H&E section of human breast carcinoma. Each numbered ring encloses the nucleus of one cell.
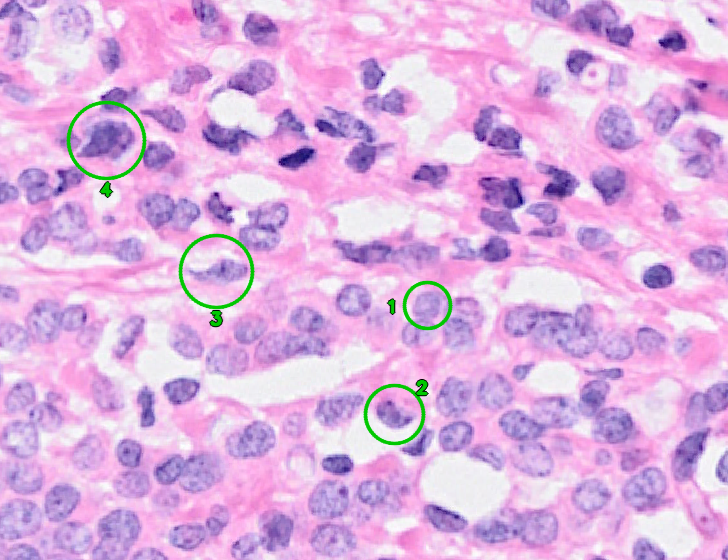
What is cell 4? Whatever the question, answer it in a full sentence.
Marked with the number 4, this cell is a carcinoma cell.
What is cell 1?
The cell that goes by number 1 is a carcinoma cell.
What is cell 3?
The numbered cell 3 is identified here as a fibroblast.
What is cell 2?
Denoted by the label 2 in the section is a carcinoma cell.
